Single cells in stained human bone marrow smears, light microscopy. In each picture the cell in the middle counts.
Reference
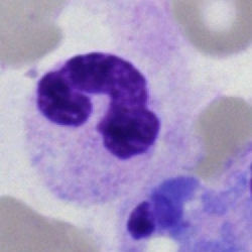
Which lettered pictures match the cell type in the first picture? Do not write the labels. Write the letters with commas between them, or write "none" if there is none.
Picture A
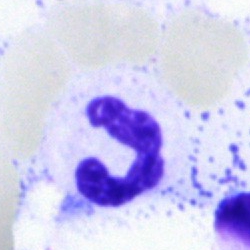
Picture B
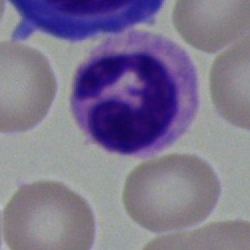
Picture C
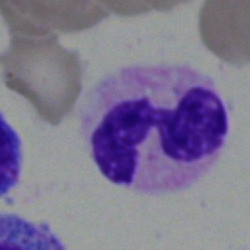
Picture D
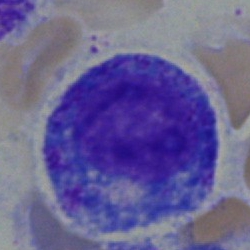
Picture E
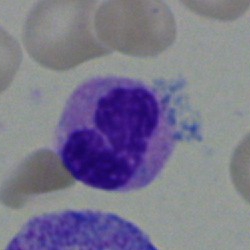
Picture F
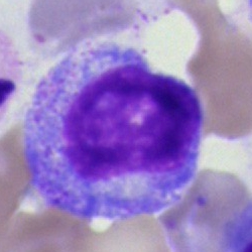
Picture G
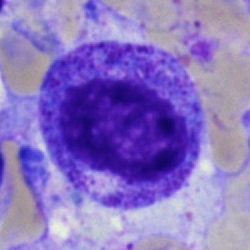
E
